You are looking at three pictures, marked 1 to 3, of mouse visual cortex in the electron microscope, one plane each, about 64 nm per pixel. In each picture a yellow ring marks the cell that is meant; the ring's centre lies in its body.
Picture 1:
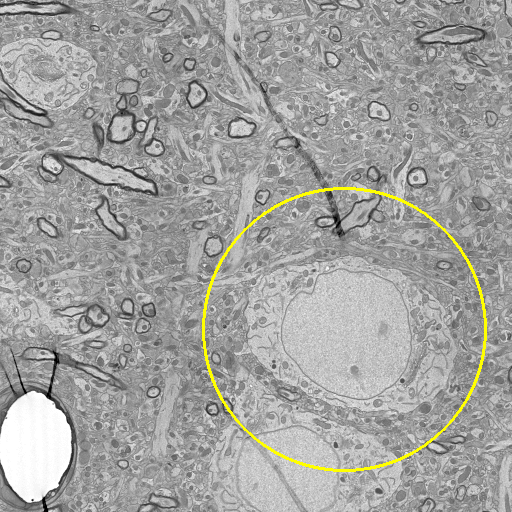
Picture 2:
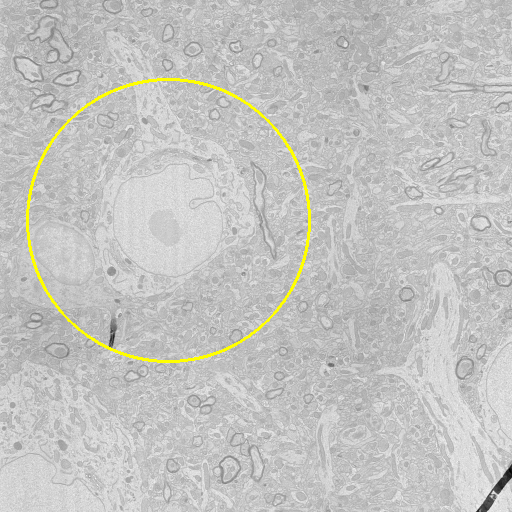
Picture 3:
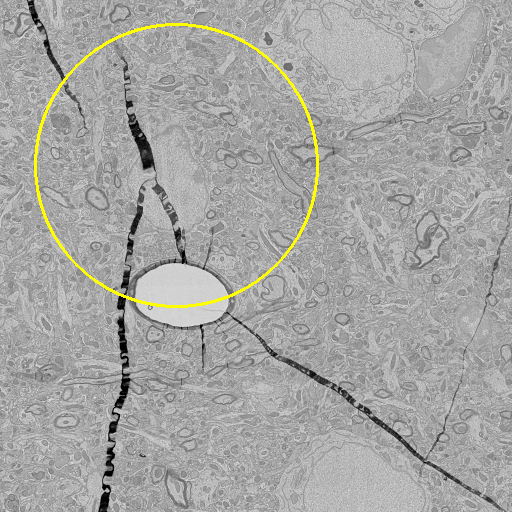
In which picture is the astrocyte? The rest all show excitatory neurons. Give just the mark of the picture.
3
